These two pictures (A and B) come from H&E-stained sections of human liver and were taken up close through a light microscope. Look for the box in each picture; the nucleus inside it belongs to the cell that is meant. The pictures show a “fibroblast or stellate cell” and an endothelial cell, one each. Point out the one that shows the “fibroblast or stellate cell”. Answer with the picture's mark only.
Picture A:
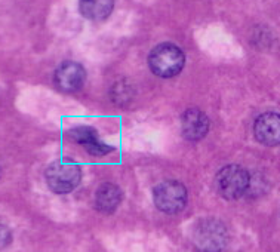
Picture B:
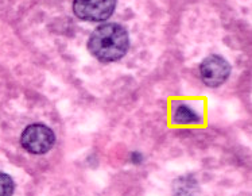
B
